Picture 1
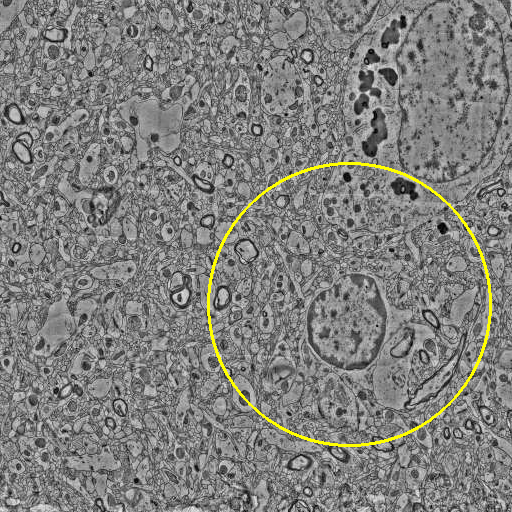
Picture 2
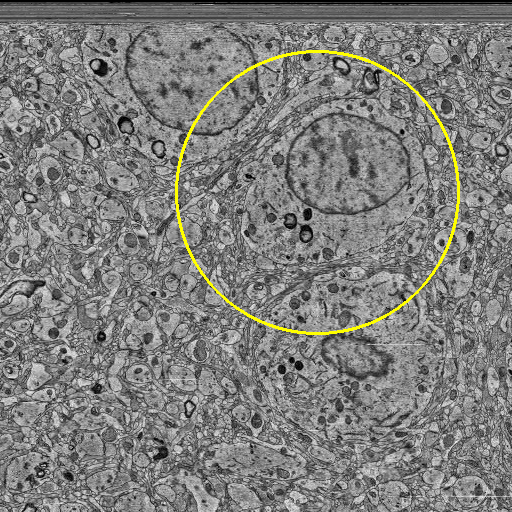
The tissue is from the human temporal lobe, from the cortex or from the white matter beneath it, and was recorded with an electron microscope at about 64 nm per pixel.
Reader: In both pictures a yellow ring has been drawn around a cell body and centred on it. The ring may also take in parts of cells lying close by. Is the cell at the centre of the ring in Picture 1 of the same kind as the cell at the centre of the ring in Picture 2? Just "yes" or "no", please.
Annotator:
no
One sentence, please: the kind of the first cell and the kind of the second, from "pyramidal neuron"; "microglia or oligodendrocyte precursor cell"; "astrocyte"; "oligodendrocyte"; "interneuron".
The ring in the first picture surrounds a microglial cell or oligodendrocyte precursor cell, and the ring in the second surrounds a pyramidal neuron.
